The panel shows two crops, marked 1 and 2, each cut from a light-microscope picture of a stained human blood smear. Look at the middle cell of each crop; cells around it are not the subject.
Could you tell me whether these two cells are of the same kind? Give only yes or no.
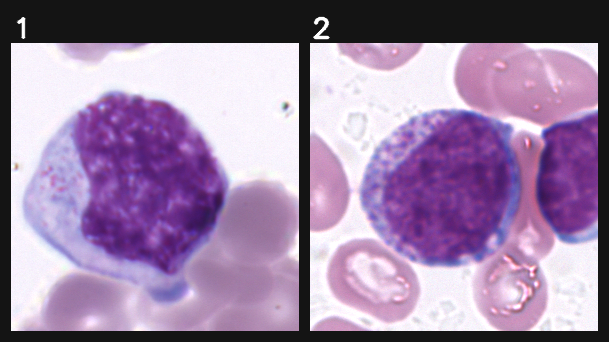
yes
